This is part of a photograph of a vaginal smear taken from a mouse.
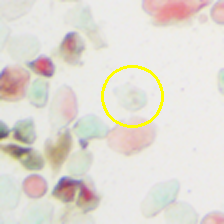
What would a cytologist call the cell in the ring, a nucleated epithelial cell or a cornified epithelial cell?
A cytologist would call it a cornified epithelial cell.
